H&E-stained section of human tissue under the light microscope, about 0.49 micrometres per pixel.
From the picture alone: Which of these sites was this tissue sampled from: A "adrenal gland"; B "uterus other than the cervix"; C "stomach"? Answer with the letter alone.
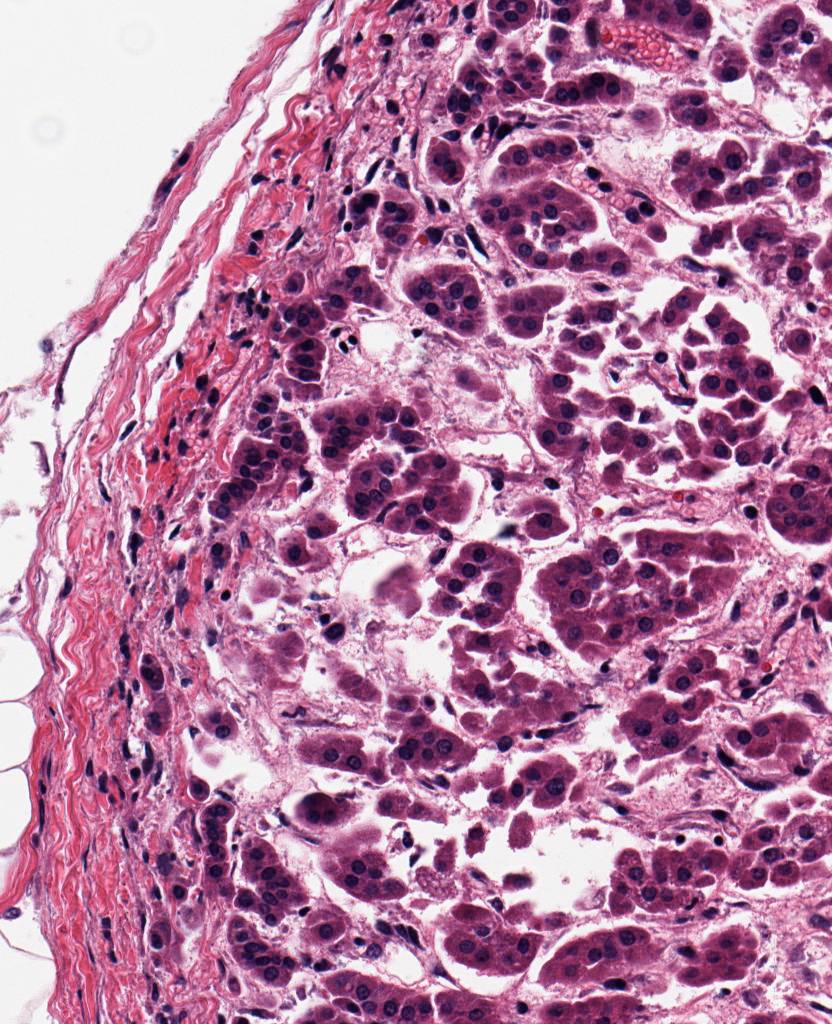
A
